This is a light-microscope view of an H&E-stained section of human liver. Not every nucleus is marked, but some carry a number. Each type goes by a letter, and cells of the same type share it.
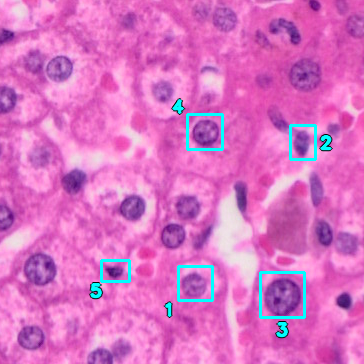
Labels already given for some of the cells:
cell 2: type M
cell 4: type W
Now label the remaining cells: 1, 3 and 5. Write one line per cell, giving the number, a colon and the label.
1: type W
3: type W
5: type M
